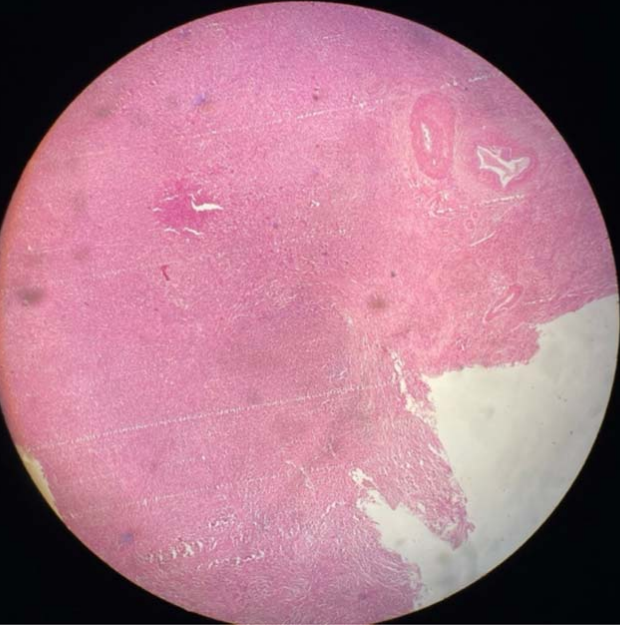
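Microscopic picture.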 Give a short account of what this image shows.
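This low-power view shows a broad, solid sheet of densely packed, pink-staining (eosinophilic) cells that spreads diffusely across most of the field. At the upper right, a few thick-walled blood vessels sit within a looser band of tissue that the sheet abuts. The lower right edge of the section is torn, and individual cell outlines are hard to resolve at this magnification.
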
